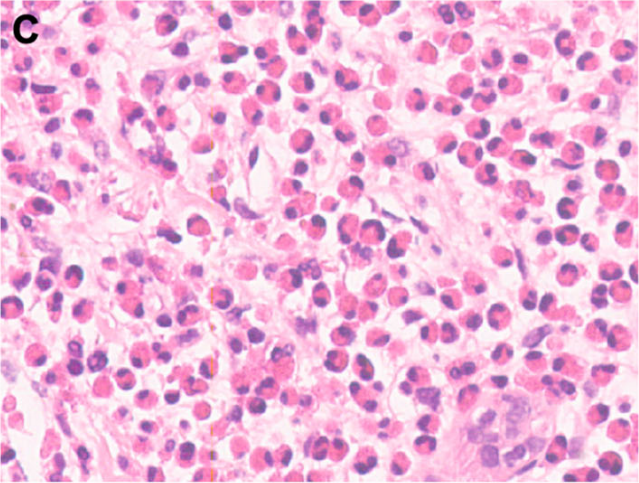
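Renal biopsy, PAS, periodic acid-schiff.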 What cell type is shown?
Eosinophil.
